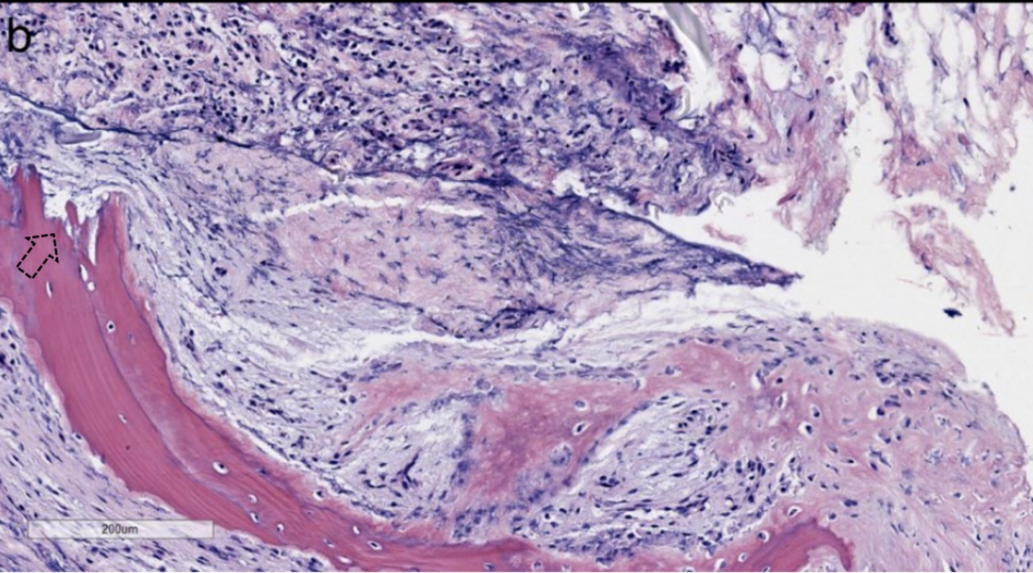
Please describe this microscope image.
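Soft tissue with inflammation, fibrosis and bone fragments is seen. At the left a deep-pink, layered band of bone runs diagonally, with small cells lying in scattered lacunae within its matrix. Around it lies fibrous tissue with elongated spindle-shaped nuclei in pale pink strands, and toward the lower right lies further pink matrix with cells in lacunae. Along the top a dense infiltrate of many small dark-purple nuclei fills the tissue, bordered at the upper right by loose, pale, wispy tissue.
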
